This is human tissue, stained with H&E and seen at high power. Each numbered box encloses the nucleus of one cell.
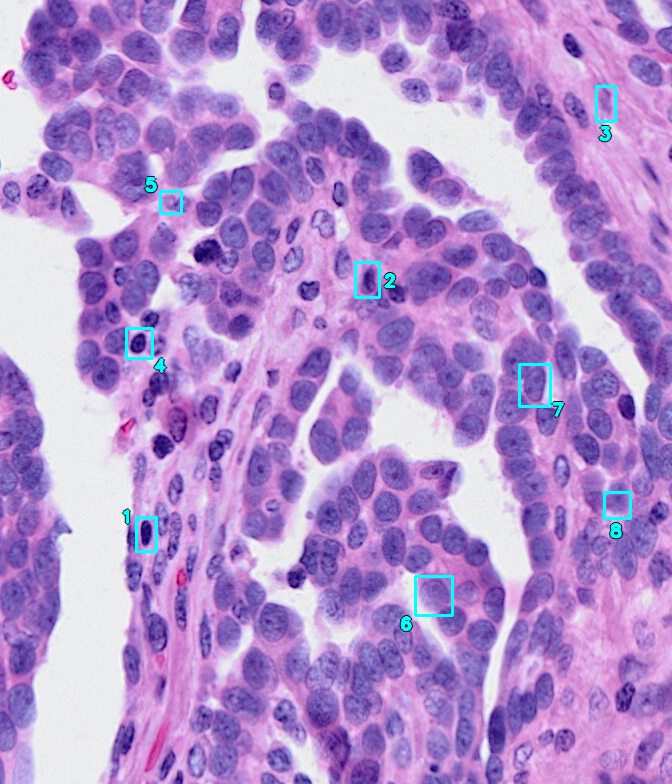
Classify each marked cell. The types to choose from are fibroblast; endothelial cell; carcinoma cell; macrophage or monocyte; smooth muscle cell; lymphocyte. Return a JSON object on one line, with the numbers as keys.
{"1": "lymphocyte", "2": "lymphocyte", "3": "fibroblast", "4": "lymphocyte", "5": "macrophage or monocyte", "6": "carcinoma cell", "7": "carcinoma cell", "8": "carcinoma cell"}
